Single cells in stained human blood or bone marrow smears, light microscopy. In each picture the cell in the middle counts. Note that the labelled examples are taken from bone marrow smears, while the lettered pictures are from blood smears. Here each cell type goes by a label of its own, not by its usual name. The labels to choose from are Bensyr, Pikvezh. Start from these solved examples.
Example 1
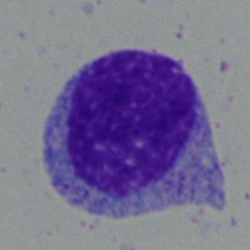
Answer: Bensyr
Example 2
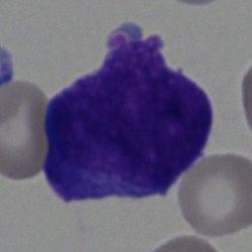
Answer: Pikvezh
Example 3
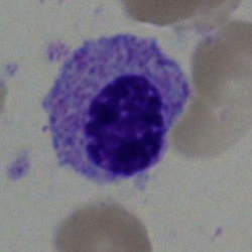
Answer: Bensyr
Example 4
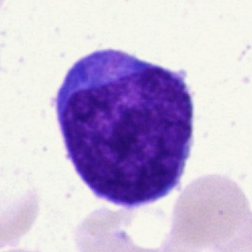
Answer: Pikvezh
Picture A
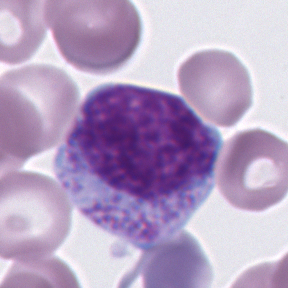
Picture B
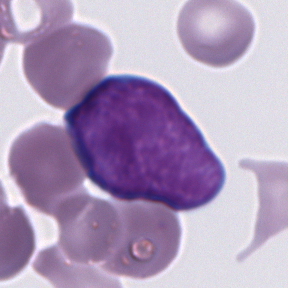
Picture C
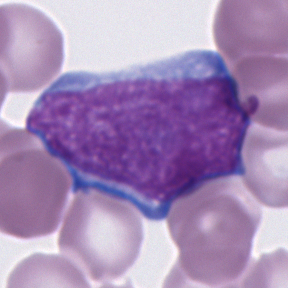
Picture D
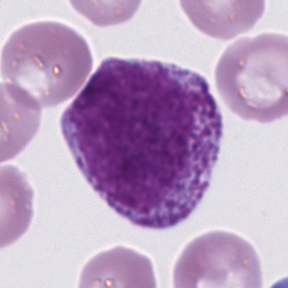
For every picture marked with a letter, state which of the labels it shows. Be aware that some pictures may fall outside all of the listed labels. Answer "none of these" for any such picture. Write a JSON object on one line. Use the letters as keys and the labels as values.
{"A": "Bensyr", "B": "Pikvezh", "C": "Pikvezh", "D": "Bensyr"}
